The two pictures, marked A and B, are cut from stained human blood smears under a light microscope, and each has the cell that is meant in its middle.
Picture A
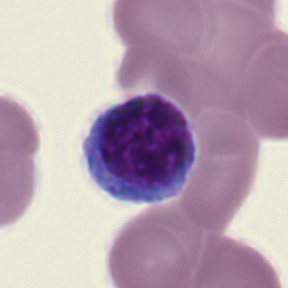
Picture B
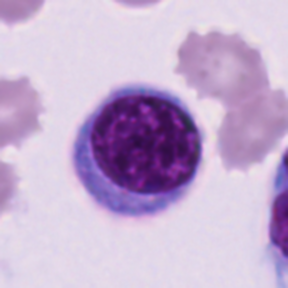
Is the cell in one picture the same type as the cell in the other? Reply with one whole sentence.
Yes, they are the same type: both are plasma cells.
